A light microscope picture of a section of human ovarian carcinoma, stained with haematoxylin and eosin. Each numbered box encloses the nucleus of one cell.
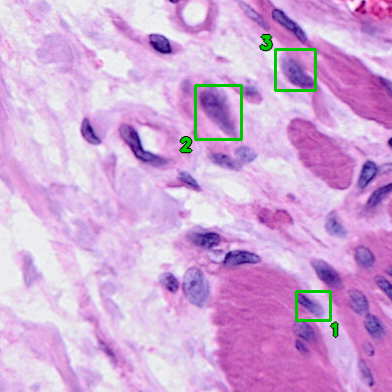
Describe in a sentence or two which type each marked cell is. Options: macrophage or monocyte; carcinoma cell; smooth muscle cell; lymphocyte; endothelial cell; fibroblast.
Cell 1 is a smooth muscle cell, cell 2 is an endothelial cell and cell 3 is a smooth muscle cell.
